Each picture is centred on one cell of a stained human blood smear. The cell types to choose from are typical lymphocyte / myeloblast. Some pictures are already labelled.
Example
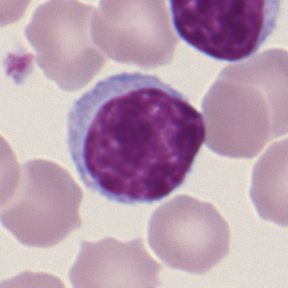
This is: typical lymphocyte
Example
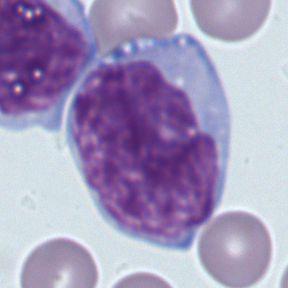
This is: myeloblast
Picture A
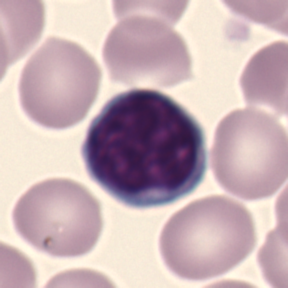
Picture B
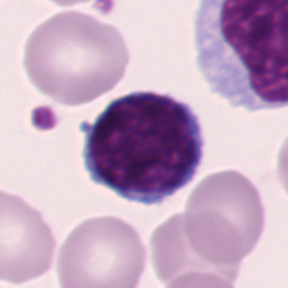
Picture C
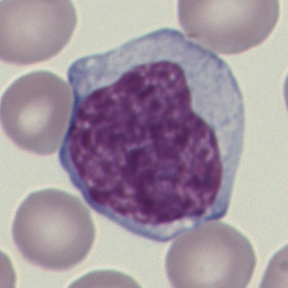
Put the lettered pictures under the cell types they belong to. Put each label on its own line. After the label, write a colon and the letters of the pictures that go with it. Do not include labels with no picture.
typical lymphocyte: A, B
myeloblast: C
